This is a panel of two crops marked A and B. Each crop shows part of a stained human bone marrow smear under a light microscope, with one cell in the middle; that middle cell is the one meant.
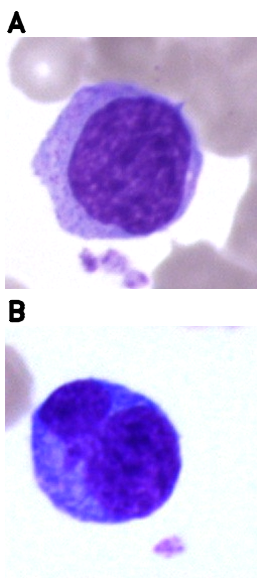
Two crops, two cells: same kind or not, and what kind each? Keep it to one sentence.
Yes, in the case of both crops, the central cells are blasts.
